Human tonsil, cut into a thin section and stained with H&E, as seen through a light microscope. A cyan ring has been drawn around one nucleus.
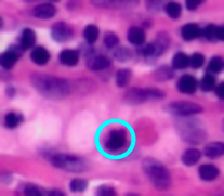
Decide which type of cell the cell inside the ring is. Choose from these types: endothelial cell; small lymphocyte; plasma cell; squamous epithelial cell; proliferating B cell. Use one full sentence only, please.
Cell type answer for this item: the cell inside the ring is an endothelial cell.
